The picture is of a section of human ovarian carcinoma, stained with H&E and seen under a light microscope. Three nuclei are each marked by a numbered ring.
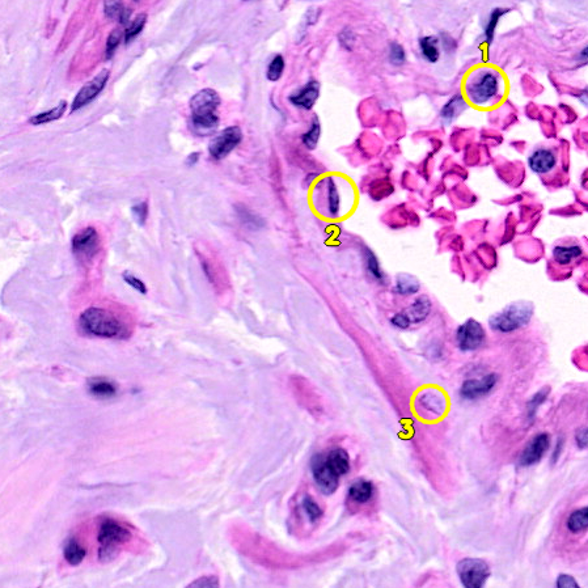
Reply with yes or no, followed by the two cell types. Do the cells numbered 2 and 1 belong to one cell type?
Yes, both of the numbered cells concerned, 2 and 1, are endothelial cells.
